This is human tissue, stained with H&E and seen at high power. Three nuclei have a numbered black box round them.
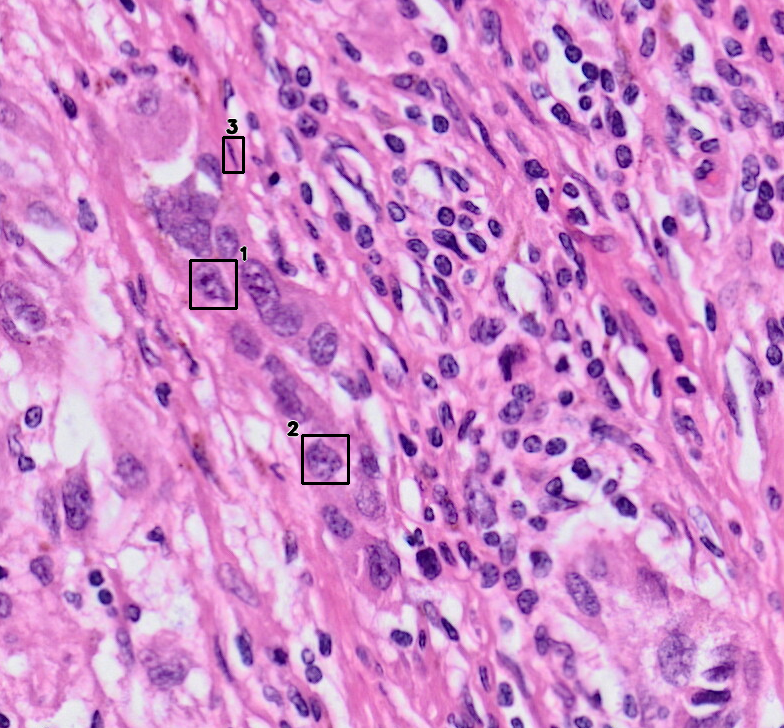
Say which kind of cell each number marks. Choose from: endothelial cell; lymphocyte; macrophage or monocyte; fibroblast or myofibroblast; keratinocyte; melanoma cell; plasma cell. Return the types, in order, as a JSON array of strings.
["melanoma cell", "melanoma cell", "fibroblast or myofibroblast"]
